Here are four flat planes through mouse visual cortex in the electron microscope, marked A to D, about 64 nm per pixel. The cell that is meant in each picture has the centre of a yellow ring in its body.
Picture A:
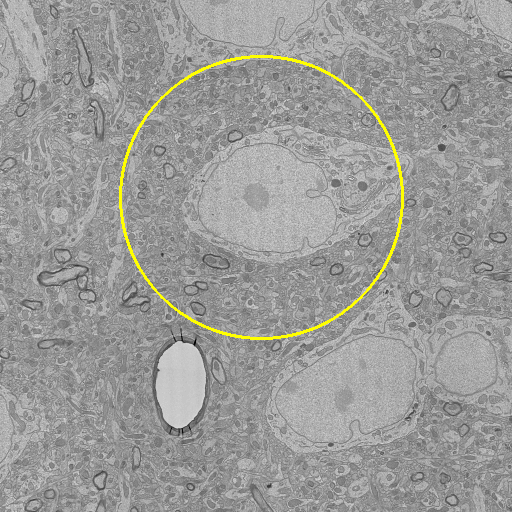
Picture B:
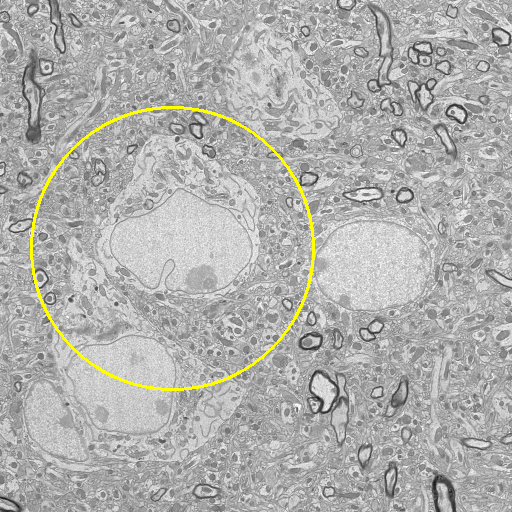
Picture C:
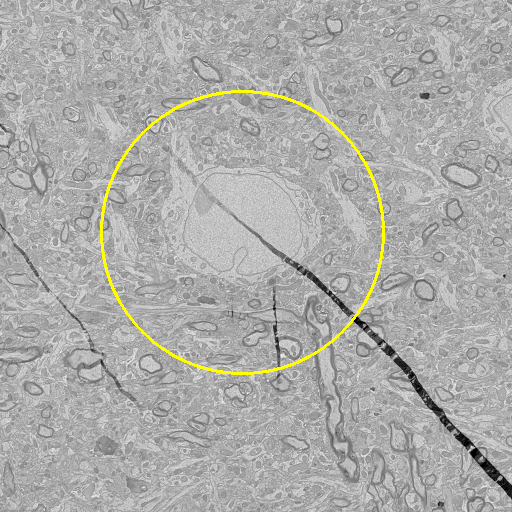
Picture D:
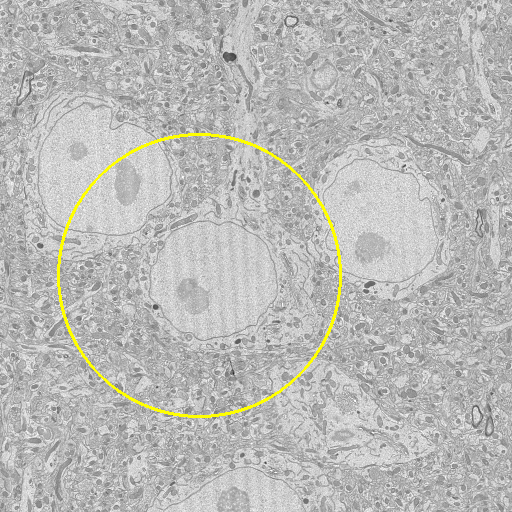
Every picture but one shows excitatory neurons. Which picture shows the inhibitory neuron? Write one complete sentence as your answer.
The picture with the inhibitory neuron is A.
